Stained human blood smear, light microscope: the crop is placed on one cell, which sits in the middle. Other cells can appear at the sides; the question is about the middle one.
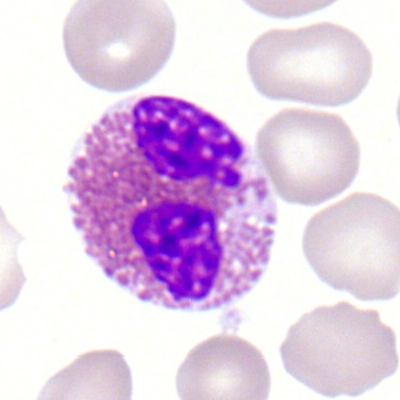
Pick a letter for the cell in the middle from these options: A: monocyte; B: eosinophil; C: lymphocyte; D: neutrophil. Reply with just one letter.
B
